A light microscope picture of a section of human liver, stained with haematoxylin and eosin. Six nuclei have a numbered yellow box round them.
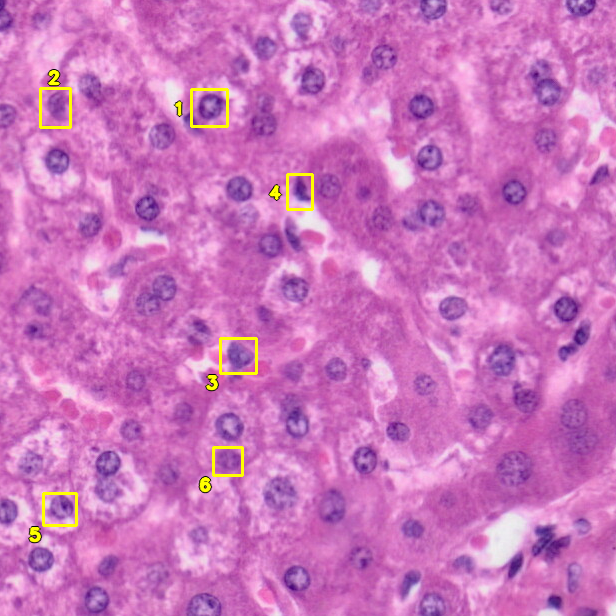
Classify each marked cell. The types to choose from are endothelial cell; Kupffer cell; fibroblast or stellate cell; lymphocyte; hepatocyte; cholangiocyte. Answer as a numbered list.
1. hepatocyte
2. endothelial cell
3. endothelial cell
4. endothelial cell
5. hepatocyte
6. hepatocyte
